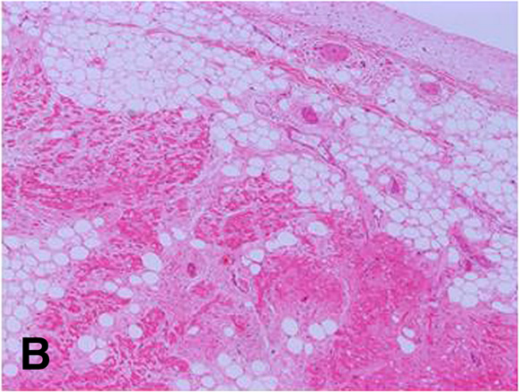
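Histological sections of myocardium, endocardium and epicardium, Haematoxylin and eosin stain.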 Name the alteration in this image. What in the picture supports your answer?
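Clear fat cells occupy much of the section. Pink muscle tissue is broken into islands separated by fat cells. So: replacement with abundant adipose tissue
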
